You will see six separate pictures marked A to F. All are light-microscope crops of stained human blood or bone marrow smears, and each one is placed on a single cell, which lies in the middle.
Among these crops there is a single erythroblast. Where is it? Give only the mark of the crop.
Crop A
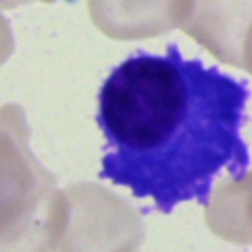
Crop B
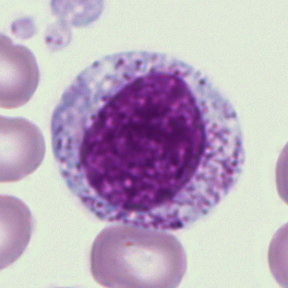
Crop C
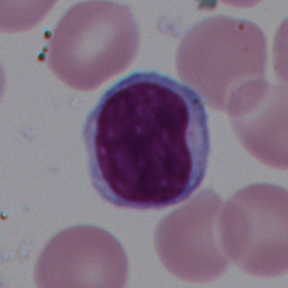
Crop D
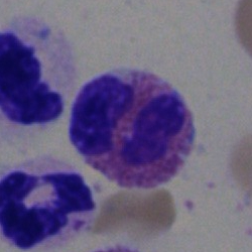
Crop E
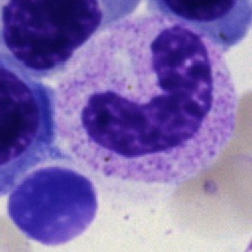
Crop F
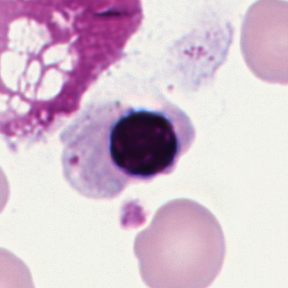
F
